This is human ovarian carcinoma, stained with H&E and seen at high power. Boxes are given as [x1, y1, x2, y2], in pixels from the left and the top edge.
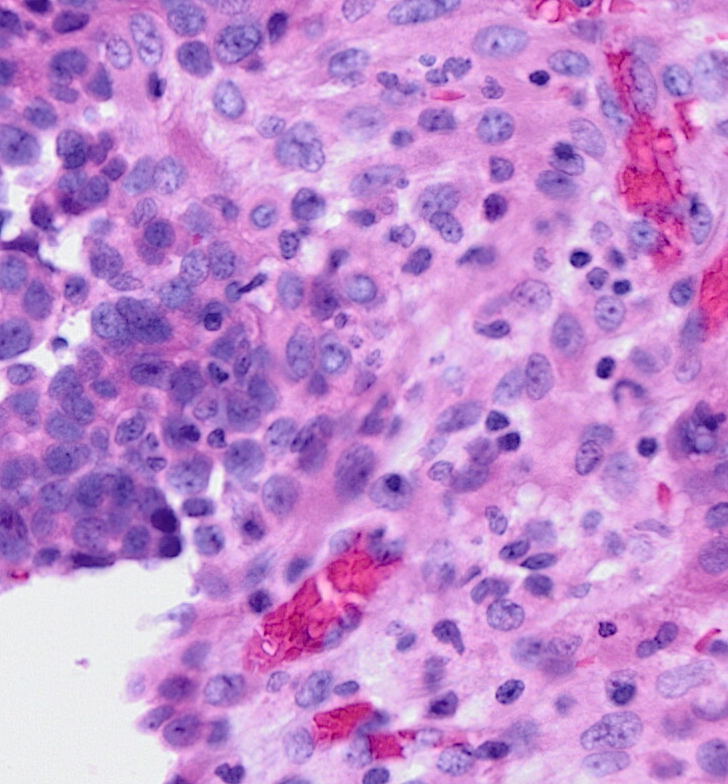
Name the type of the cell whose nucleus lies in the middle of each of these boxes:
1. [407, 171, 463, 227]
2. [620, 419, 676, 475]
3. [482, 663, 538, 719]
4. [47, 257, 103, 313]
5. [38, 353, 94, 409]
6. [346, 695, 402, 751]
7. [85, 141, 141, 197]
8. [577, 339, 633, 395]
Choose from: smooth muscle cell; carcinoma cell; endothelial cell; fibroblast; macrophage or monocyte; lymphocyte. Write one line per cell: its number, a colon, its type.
1: fibroblast
2: lymphocyte
3: lymphocyte
4: macrophage or monocyte
5: carcinoma cell
6: endothelial cell
7: carcinoma cell
8: lymphocyte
